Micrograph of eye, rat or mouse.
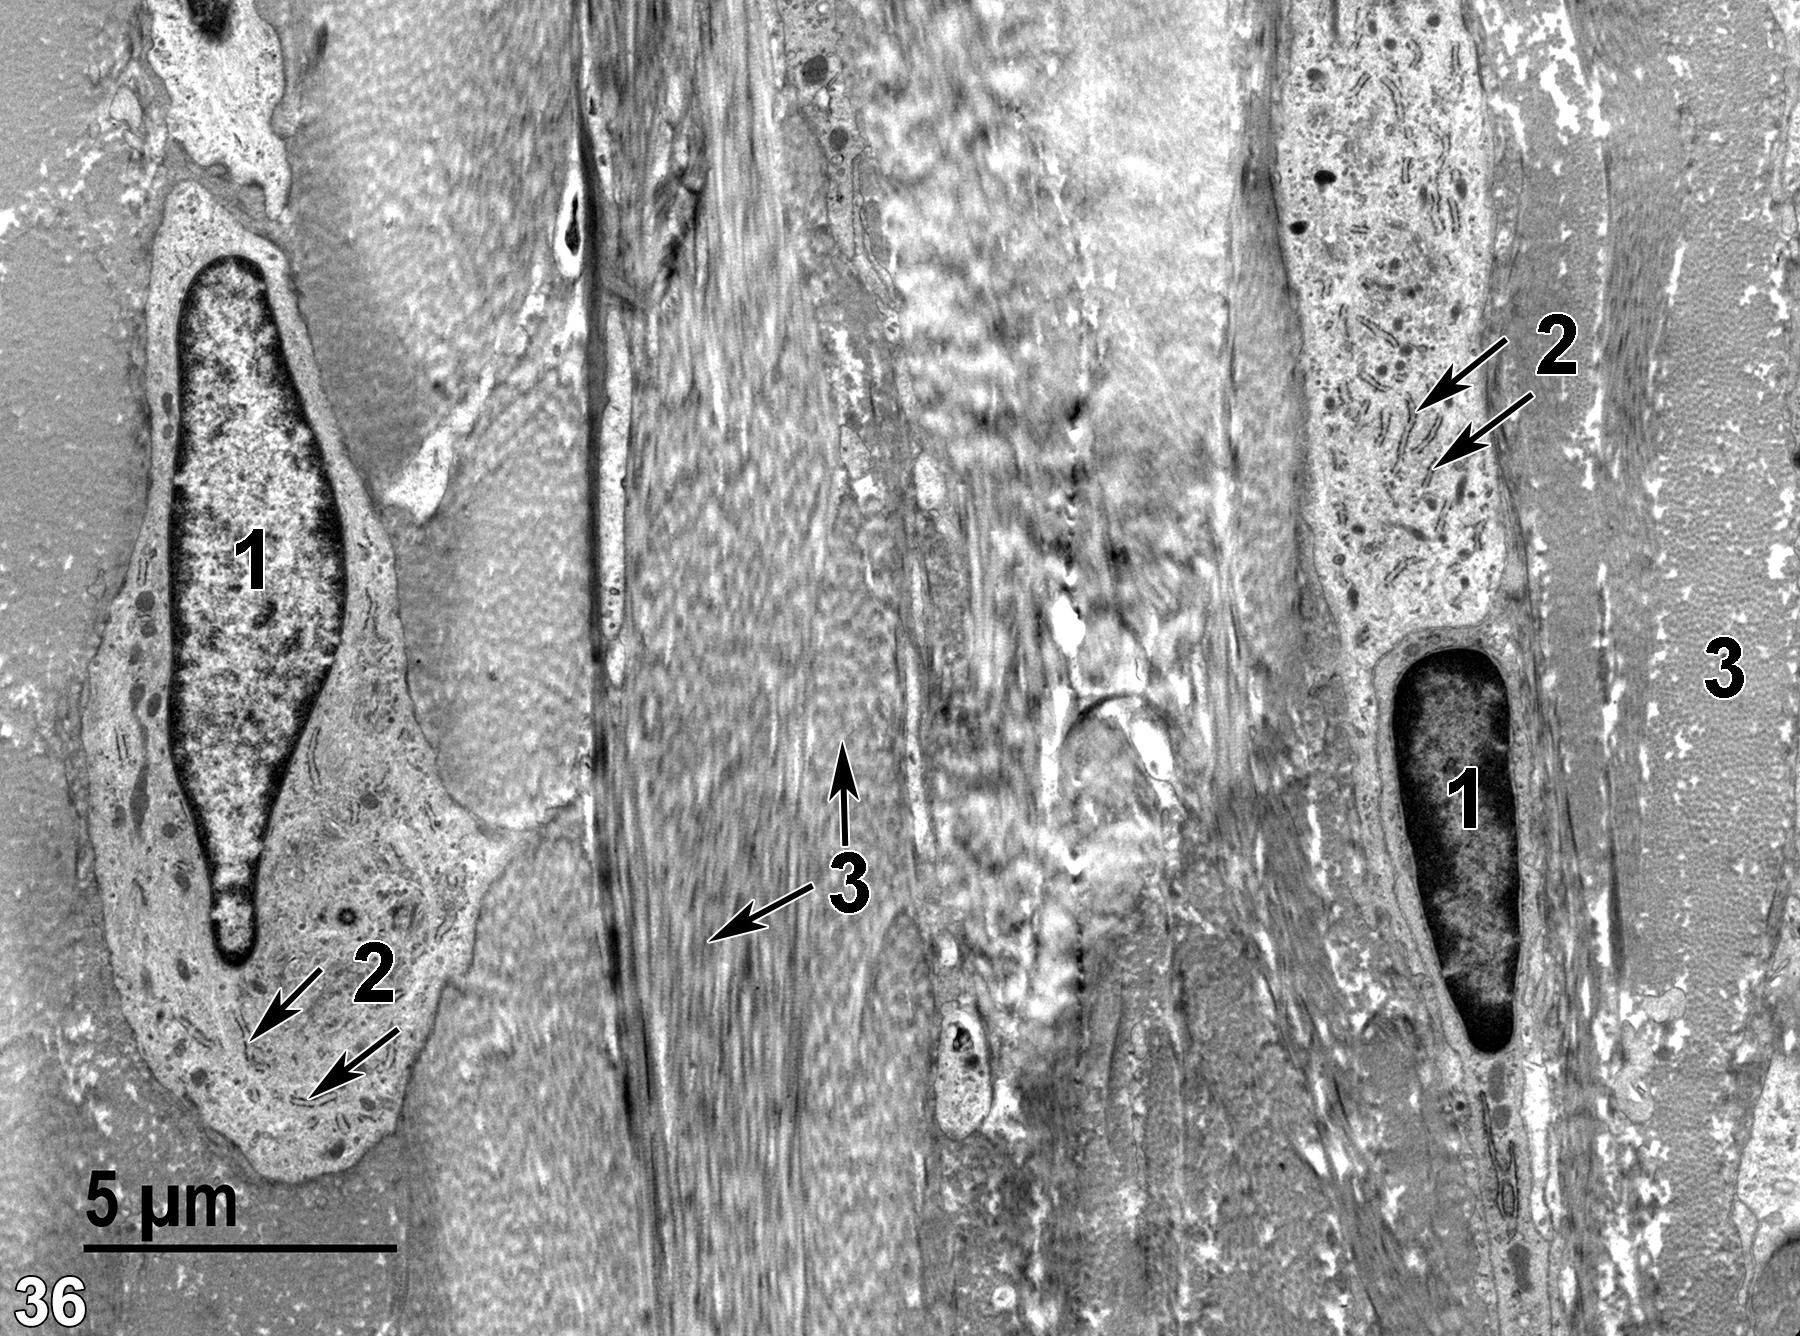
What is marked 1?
The number 1 marks the fibroblasts.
